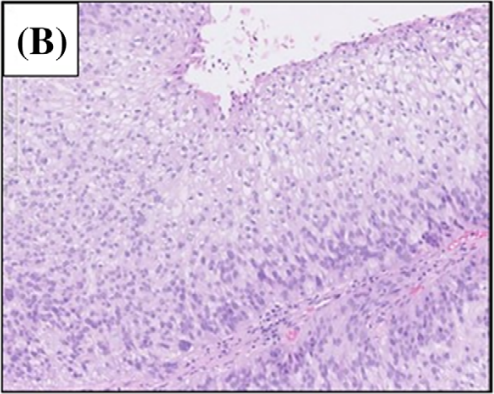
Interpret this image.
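This is a tumour made of atypical neoplastic squamous cells growing as a thick, many-layered epithelial sheet with pink cytoplasm. A thin strand of stroma with small blood vessels runs at the base of the cell layers.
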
